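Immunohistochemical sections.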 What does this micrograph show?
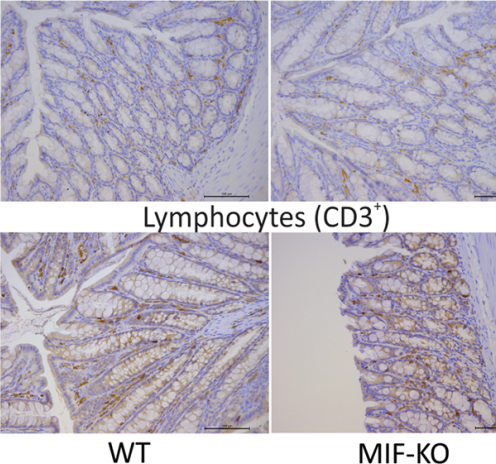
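These are sections of the colon wall showing the mucosa with its crypts and the lamina propria between them, in which scattered immune cells are stained brown against a blue counterstain. The crypts are cut both across and along their length and are lined by columnar epithelium rich in pale, rounded goblet cells. The brown-stained cells lie singly or in small groups in the lamina propria between the crypts and along their bases. In the lower images, brown cells are also seen close to the epithelium lining the crypts.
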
